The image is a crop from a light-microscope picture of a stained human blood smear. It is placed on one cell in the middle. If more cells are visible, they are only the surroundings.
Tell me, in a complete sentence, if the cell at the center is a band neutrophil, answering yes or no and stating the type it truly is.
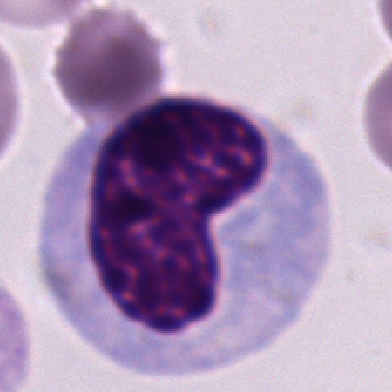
Yes, this is a band neutrophil, the cell in the middle of the crop.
